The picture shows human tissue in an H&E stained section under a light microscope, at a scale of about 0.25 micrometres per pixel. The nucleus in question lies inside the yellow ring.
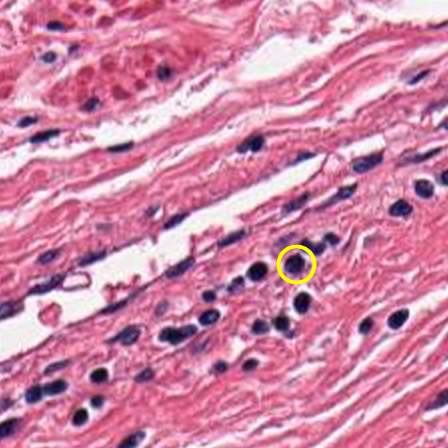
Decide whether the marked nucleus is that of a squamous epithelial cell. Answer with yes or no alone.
no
